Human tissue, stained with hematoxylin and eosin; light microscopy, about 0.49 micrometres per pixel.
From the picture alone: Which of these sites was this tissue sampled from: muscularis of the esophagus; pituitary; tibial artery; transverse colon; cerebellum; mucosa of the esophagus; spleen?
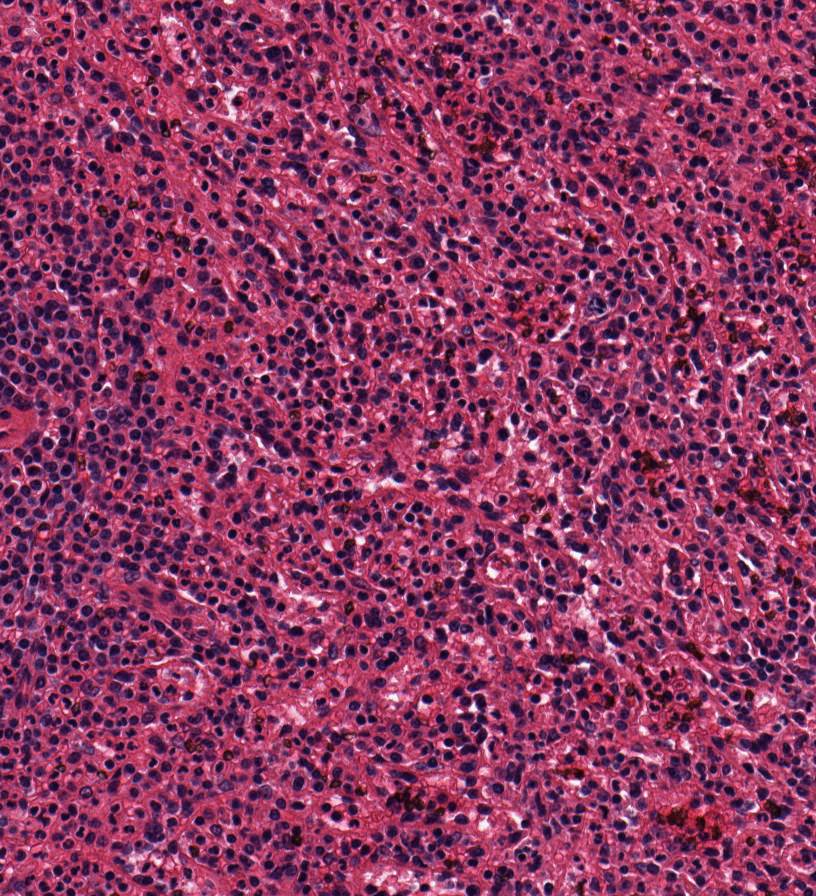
spleen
